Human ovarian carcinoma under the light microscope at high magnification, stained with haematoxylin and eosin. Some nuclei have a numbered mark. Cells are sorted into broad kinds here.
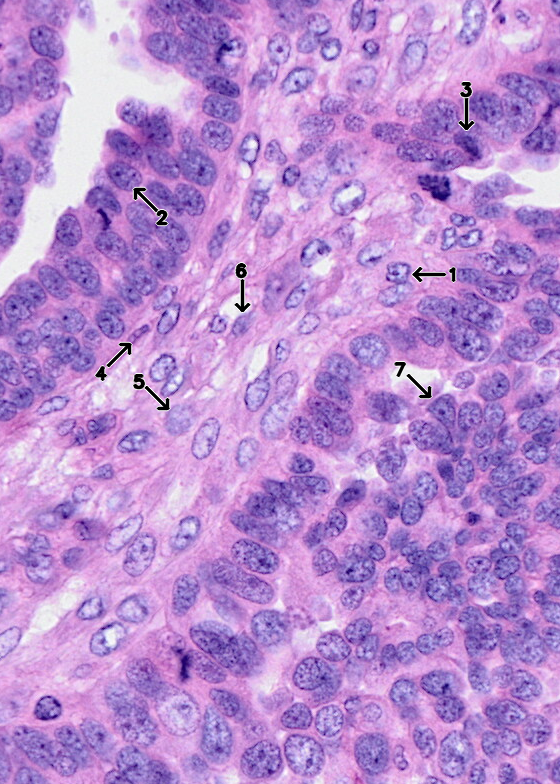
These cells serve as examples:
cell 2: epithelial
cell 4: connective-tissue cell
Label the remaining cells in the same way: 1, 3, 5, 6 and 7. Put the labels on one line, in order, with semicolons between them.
connective-tissue cell; epithelial; connective-tissue cell; connective-tissue cell; epithelial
